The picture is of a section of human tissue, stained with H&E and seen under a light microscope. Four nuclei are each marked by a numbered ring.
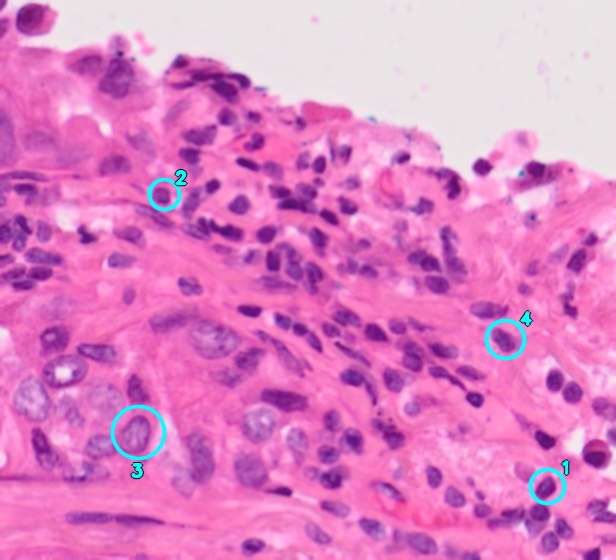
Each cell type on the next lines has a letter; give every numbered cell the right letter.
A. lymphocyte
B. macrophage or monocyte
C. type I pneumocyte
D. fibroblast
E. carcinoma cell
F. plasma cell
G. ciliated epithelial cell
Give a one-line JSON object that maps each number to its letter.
{"1": "A", "2": "A", "3": "E", "4": "A"}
